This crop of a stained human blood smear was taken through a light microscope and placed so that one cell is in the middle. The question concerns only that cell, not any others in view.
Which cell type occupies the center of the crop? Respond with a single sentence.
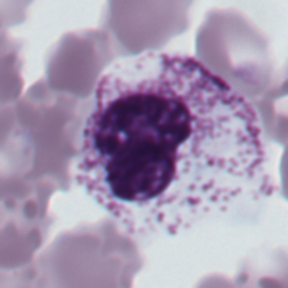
In this crop, the cell at the very middle is a segmented neutrophil.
